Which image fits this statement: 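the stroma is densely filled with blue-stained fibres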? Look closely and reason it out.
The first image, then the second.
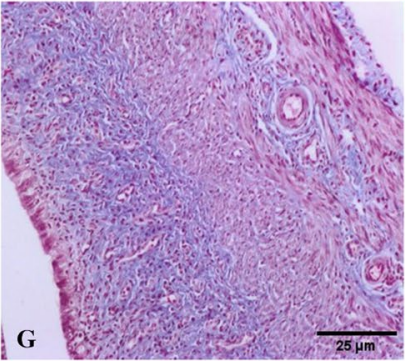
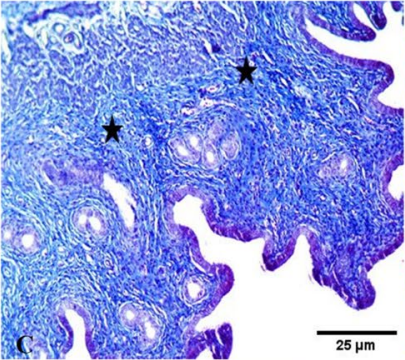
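Second image: the stroma is stained strongly blue across the whole field. On this evidence: the second image.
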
